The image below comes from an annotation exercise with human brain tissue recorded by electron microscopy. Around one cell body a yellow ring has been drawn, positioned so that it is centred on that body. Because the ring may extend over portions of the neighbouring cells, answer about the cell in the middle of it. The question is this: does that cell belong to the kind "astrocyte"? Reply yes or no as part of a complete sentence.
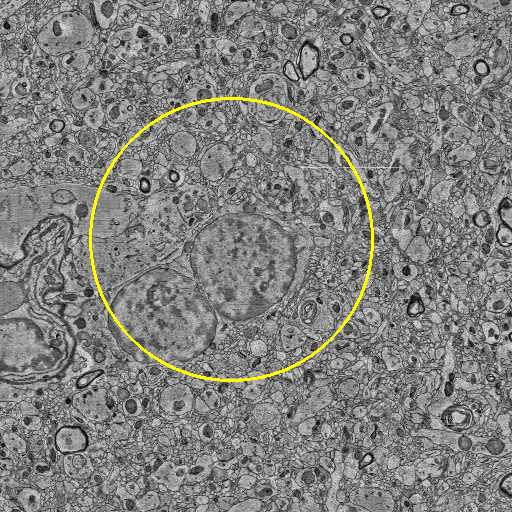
No, in the image the cell in the middle of the ring is of another kind.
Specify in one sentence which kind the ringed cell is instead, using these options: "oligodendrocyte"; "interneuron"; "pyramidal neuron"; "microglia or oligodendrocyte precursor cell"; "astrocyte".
The cell enclosed by the ring is an oligodendrocyte.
